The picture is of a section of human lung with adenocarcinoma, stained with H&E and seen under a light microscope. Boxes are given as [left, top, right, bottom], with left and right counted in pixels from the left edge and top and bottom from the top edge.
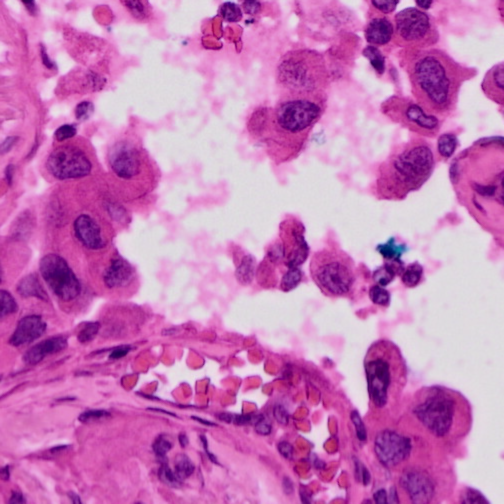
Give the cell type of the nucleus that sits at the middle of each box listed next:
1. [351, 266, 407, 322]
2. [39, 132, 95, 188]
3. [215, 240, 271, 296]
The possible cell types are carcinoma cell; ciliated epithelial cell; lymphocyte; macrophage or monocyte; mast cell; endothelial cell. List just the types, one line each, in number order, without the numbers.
lymphocyte
carcinoma cell
macrophage or monocyte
